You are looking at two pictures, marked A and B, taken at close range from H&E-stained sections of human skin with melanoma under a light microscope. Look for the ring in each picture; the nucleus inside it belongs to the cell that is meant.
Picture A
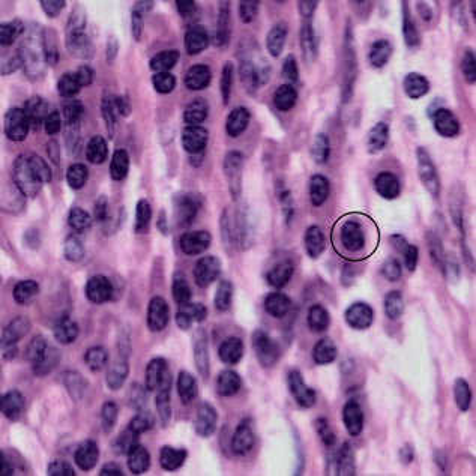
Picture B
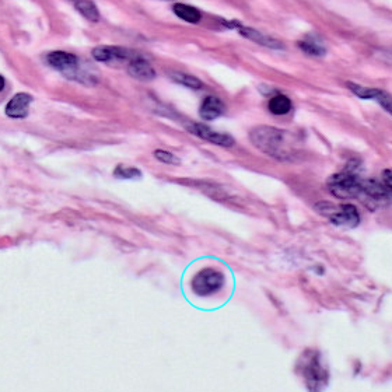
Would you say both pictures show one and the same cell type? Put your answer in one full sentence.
No; the cell in picture A is a plasma cell, while the one in picture B is a lymphocyte.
